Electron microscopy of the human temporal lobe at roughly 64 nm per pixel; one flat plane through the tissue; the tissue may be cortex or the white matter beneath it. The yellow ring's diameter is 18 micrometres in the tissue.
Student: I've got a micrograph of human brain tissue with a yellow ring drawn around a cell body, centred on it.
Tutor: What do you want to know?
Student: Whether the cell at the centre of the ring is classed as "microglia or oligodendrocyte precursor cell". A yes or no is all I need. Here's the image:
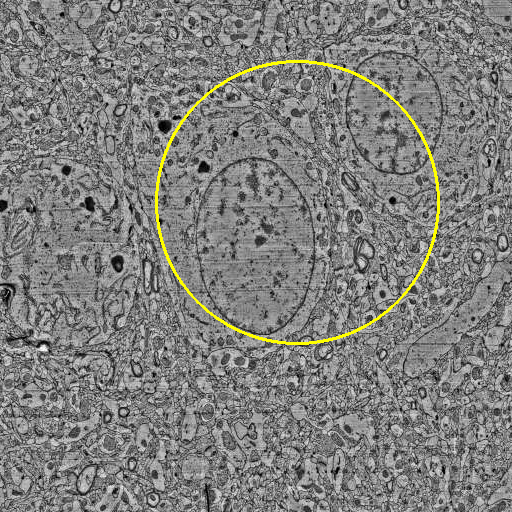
no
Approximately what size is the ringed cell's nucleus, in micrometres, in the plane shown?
In this plane, the nucleus is roughly 11 by 8 micrometres.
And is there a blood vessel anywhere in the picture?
No, there is no blood vessel.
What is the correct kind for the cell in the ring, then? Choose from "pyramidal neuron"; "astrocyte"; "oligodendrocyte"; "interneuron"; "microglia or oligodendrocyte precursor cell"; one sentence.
Instead, what sits at the centre of the ring is a pyramidal neuron.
